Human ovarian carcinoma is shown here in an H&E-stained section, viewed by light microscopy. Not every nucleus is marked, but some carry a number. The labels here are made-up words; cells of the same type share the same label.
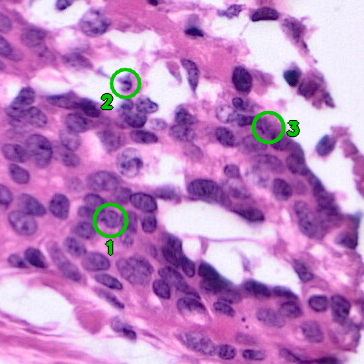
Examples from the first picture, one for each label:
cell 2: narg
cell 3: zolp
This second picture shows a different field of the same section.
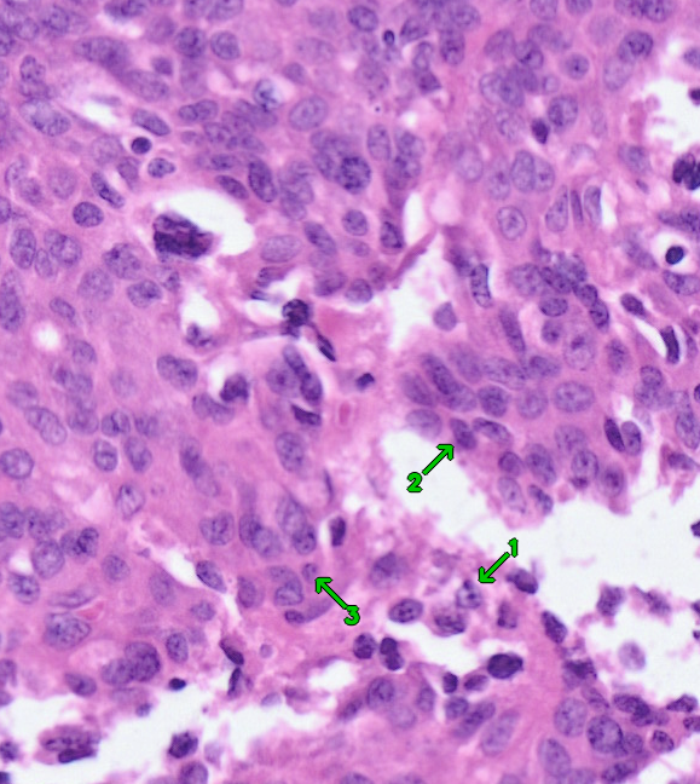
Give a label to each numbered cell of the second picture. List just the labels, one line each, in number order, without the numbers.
narg
narg
zolp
